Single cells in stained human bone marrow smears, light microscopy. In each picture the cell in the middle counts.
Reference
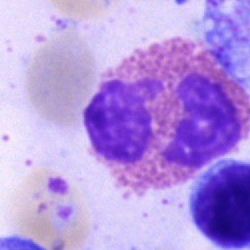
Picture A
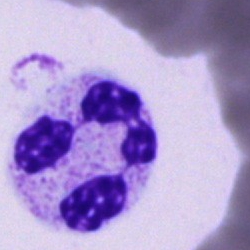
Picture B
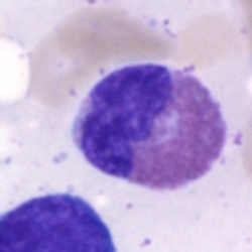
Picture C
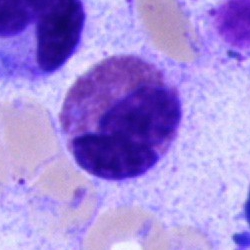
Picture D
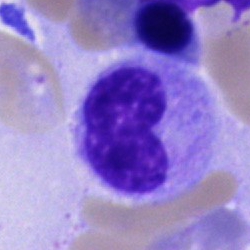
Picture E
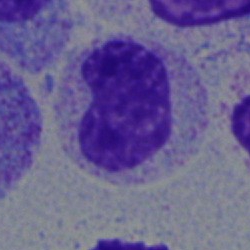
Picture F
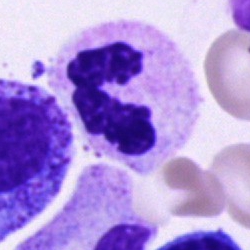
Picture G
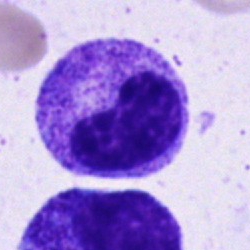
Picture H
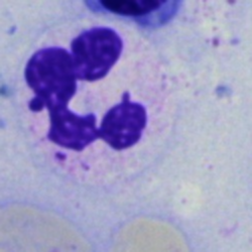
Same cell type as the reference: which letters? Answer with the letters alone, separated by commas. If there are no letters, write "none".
B, C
